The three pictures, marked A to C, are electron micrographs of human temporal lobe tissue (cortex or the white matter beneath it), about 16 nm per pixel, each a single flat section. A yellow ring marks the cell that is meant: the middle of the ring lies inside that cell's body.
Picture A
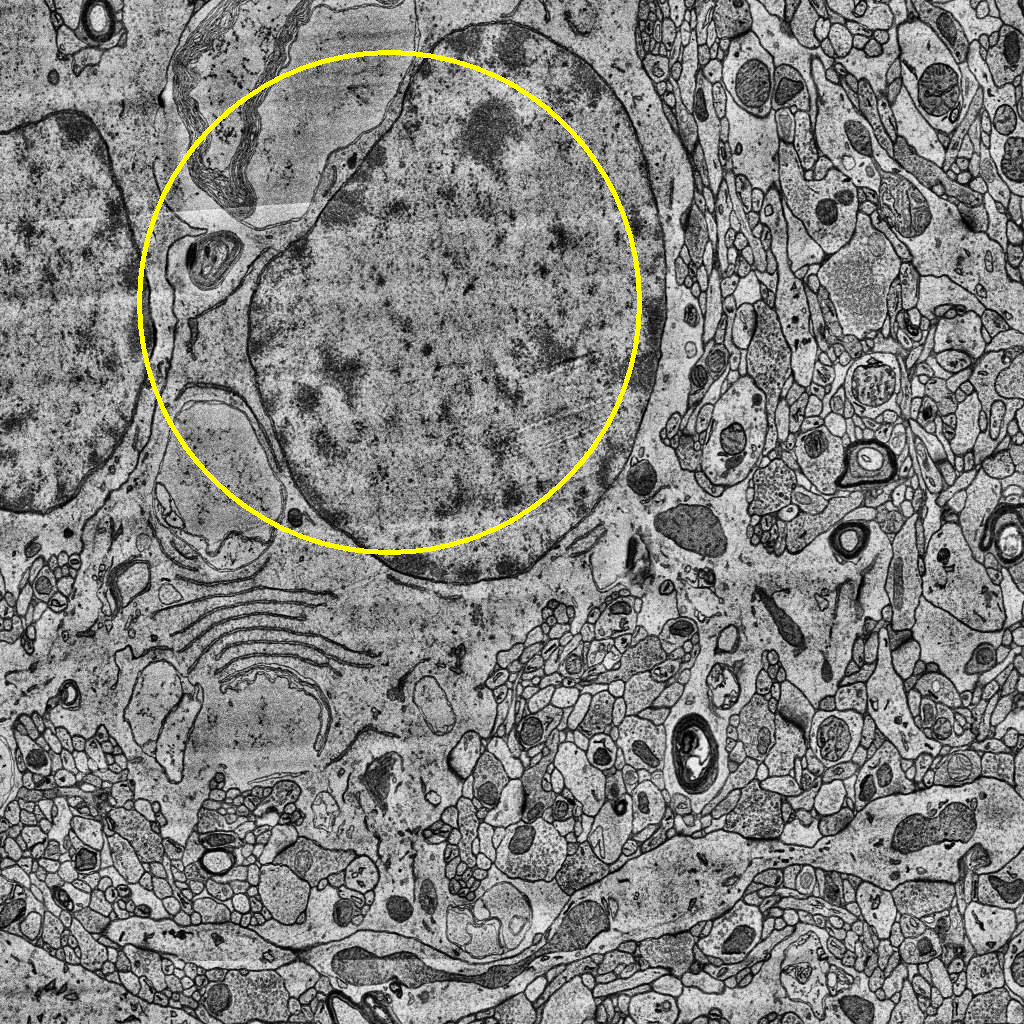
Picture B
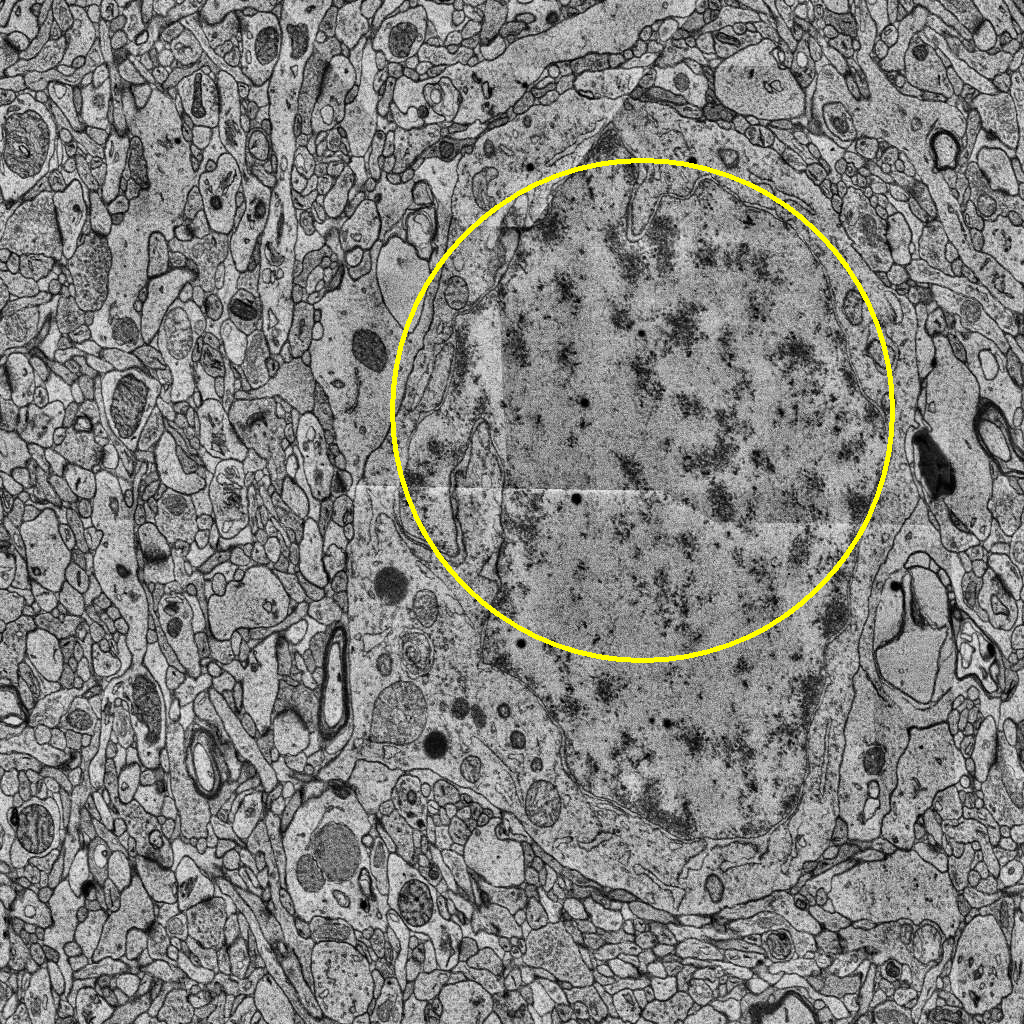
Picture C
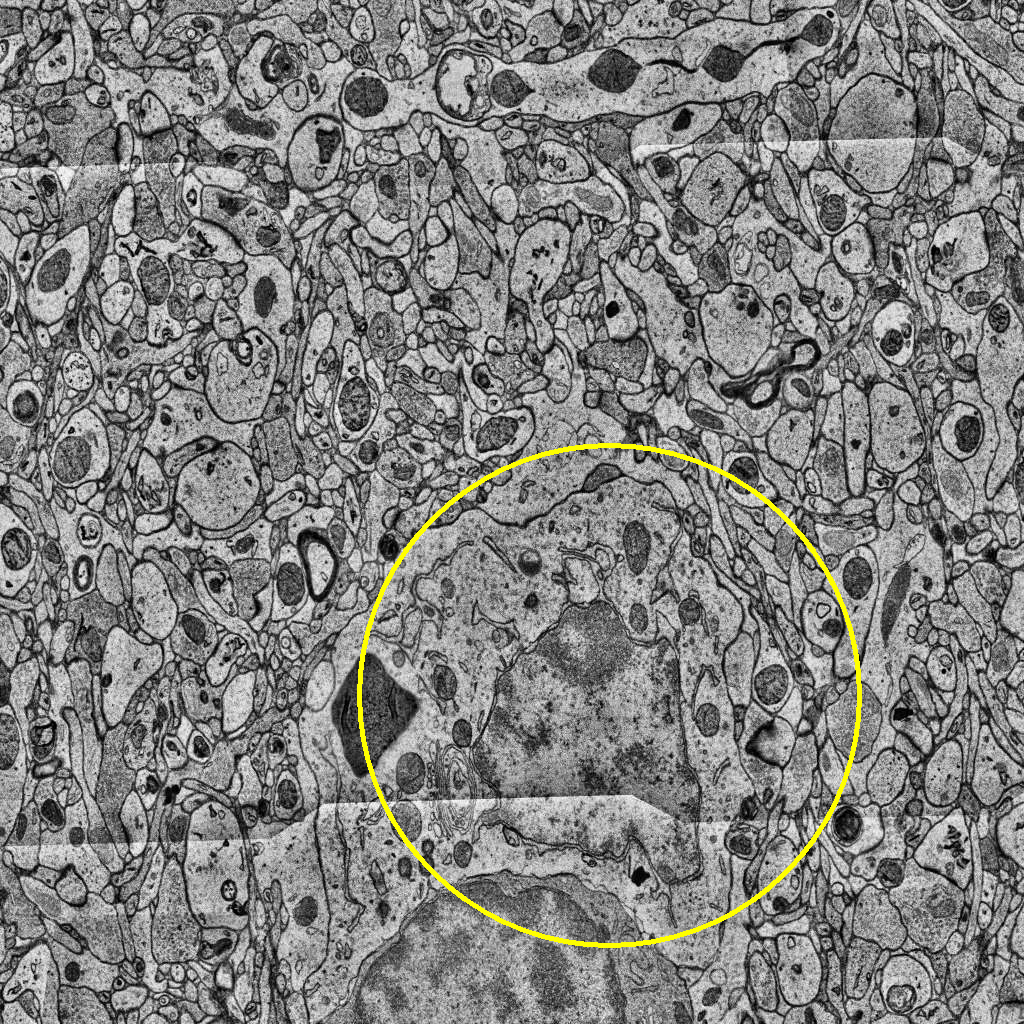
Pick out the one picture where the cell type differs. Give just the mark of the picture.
A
